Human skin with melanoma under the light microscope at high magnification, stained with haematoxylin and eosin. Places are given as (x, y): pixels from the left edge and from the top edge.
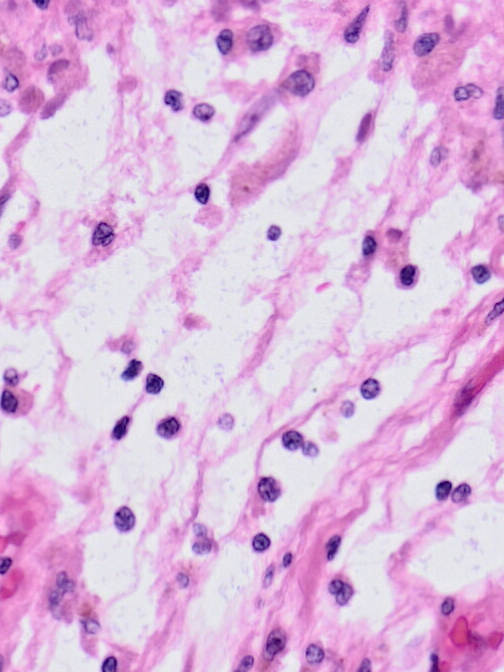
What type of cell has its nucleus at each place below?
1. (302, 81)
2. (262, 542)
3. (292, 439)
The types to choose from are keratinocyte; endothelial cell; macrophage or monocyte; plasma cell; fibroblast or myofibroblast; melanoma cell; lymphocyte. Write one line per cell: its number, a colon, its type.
1: macrophage or monocyte
2: lymphocyte
3: lymphocyte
